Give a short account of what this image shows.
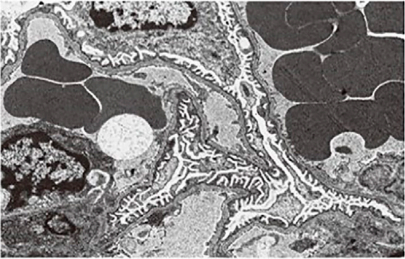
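This electron micrograph shows glomerular capillary loops whose lumens are packed with several dense, dark red blood cells lying side by side. Thin basement membranes border the lumens. A row of small, regularly spaced foot processes runs along their outer side, most clearly in the centre and on the right. A cell nucleus with patchy dark chromatin lies at the left edge.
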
